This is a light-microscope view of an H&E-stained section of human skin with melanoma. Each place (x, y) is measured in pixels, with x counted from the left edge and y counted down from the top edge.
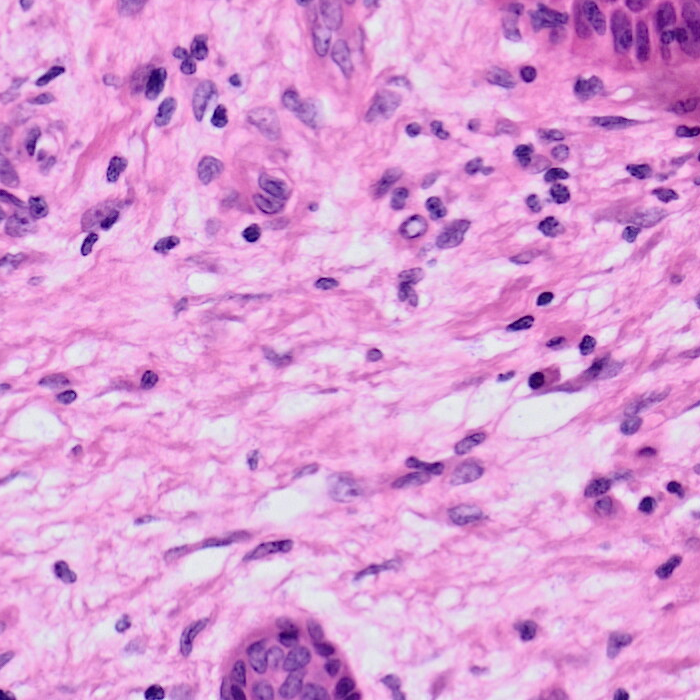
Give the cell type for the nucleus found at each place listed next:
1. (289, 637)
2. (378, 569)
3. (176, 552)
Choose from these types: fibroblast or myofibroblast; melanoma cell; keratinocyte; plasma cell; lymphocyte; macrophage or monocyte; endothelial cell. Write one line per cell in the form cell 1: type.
cell 1: keratinocyte
cell 2: fibroblast or myofibroblast
cell 3: fibroblast or myofibroblast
